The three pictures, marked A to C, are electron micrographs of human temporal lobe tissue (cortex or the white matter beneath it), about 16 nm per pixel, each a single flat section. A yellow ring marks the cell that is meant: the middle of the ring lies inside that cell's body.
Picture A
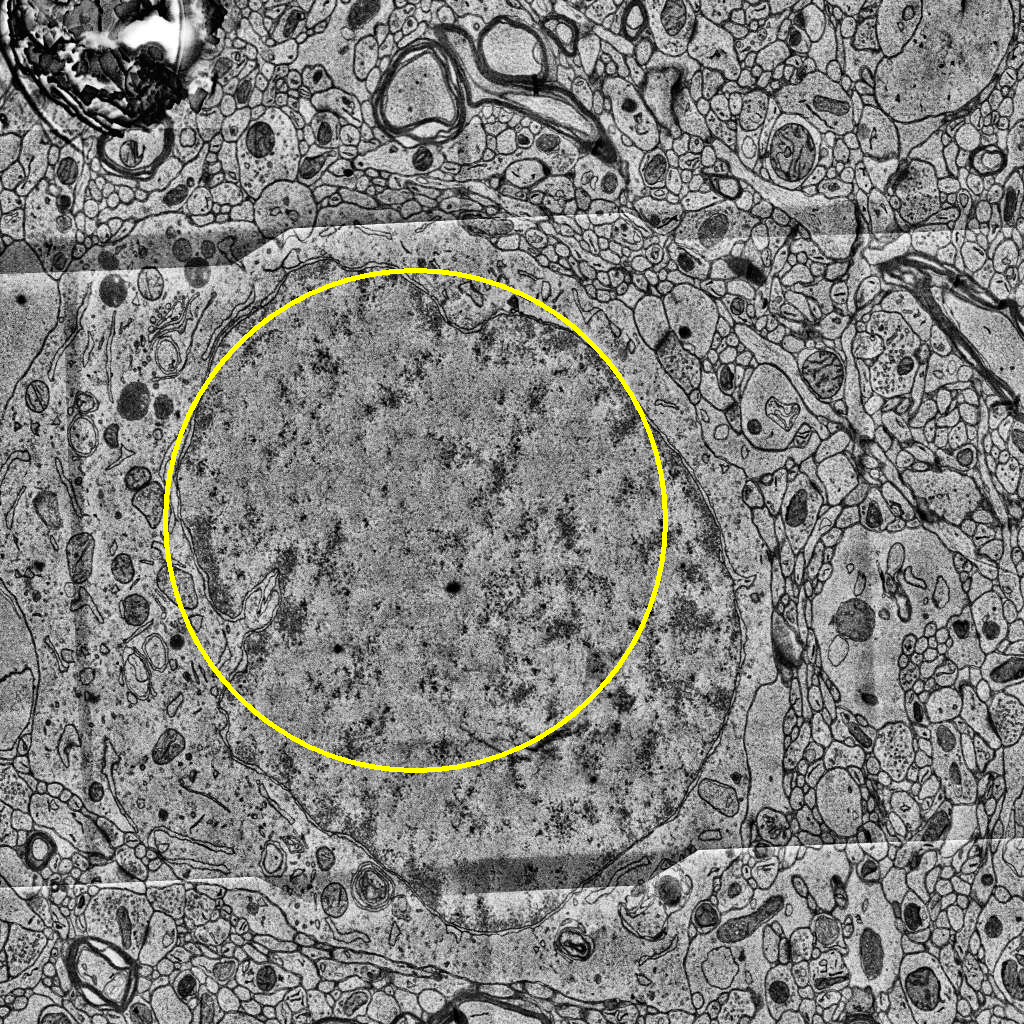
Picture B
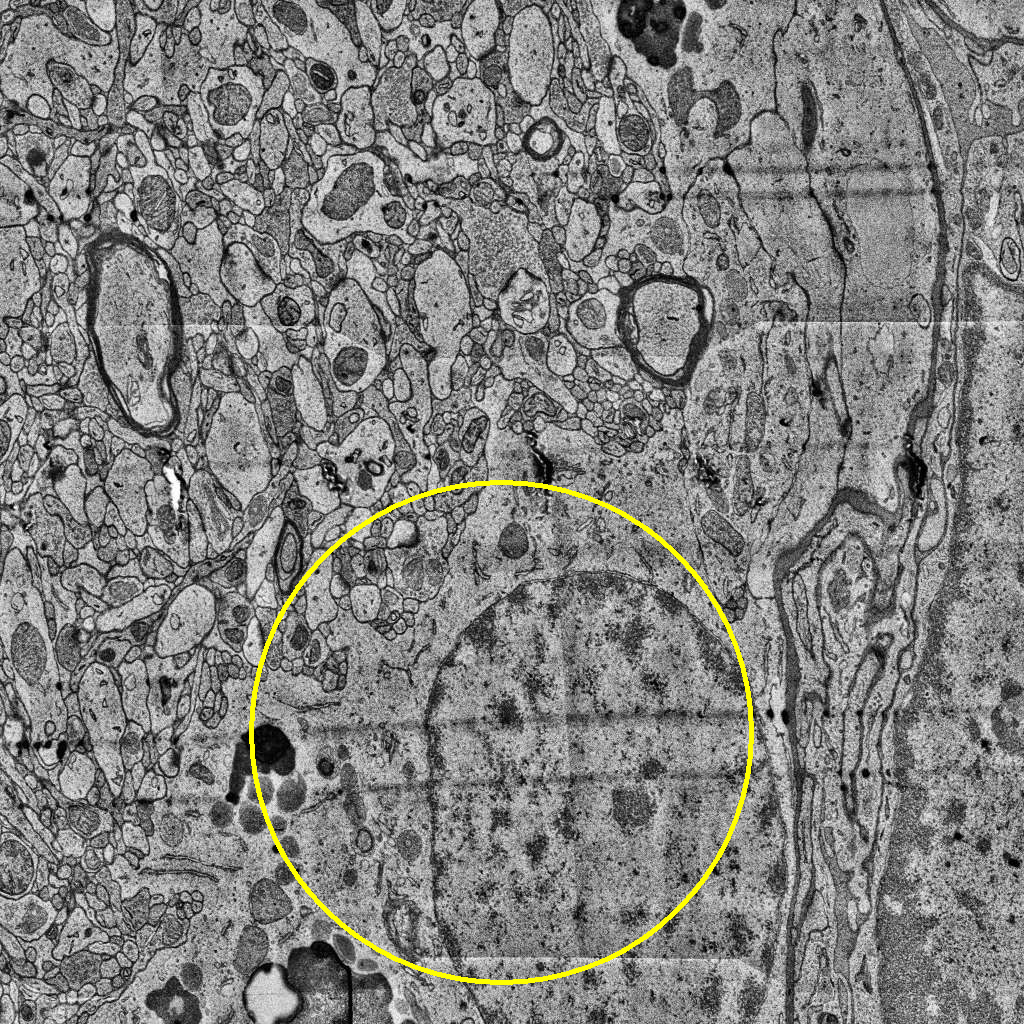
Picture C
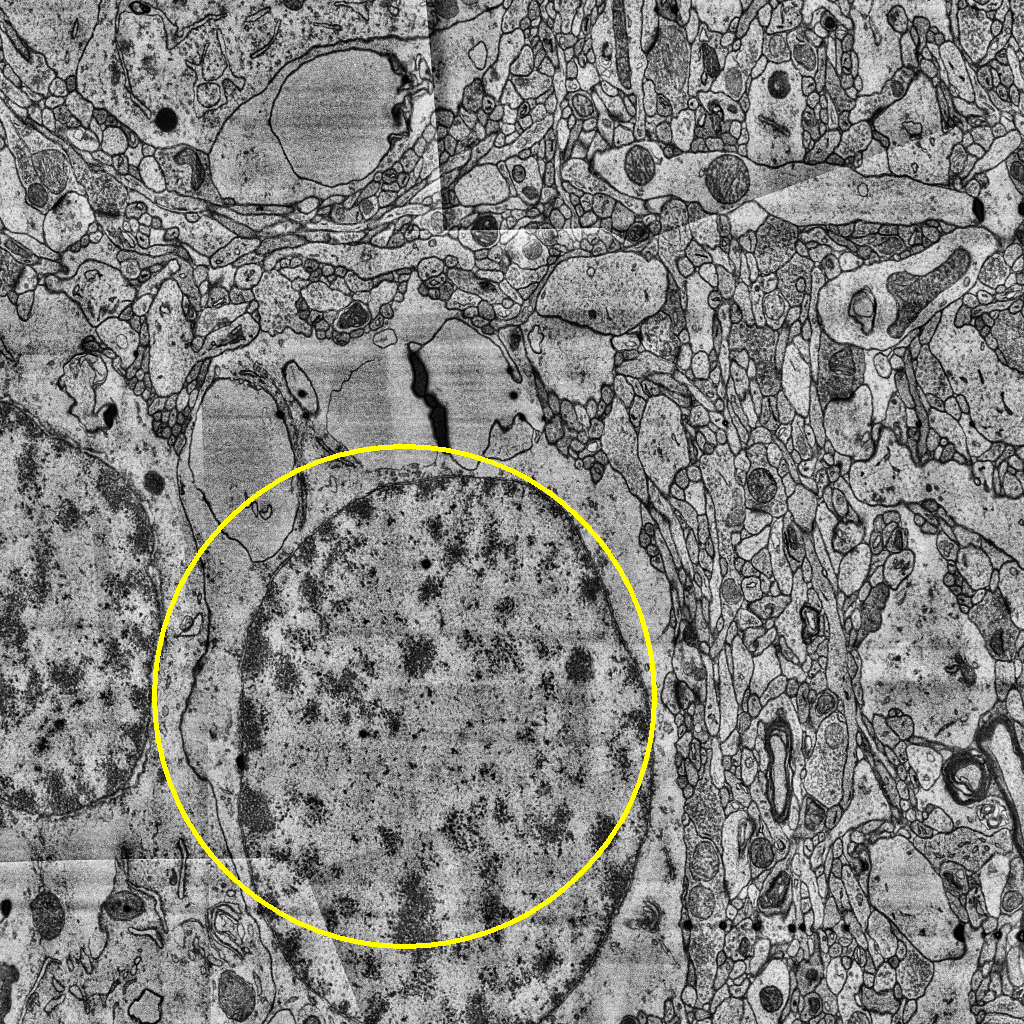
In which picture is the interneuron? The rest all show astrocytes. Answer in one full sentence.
It is picture A that shows the interneuron.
